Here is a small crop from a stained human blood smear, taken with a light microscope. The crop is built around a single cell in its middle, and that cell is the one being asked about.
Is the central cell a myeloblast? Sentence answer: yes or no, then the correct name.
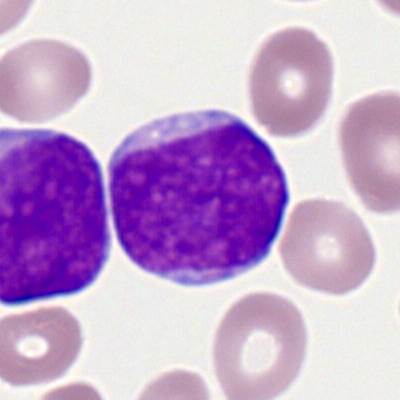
Yes, the cell at the midpoint of the crop is a myeloblast.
